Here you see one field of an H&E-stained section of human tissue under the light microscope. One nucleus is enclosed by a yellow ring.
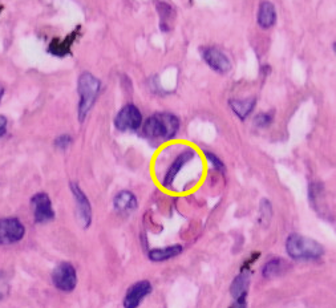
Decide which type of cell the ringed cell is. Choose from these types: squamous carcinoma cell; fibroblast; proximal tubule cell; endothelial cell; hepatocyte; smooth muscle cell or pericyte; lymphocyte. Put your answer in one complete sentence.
The cell meant here is an endothelial cell.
